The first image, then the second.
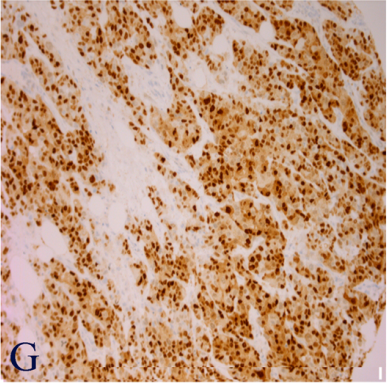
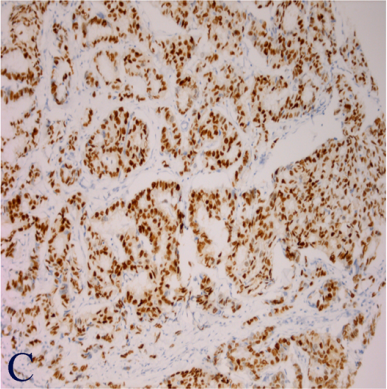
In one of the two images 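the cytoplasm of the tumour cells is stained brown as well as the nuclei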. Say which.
The first image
